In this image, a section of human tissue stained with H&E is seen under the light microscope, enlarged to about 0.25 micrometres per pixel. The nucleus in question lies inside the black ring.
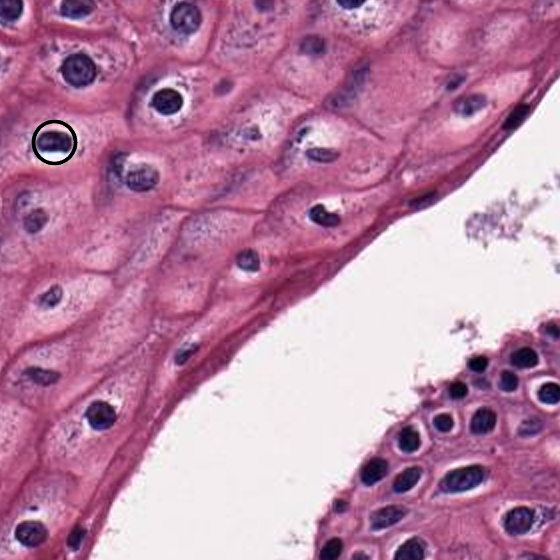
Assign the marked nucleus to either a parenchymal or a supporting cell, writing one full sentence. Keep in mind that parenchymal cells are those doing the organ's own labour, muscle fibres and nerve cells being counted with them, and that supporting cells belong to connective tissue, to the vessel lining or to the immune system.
The marked nucleus belongs to a parenchymal cell, and this cell is a squamous epithelial cell.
